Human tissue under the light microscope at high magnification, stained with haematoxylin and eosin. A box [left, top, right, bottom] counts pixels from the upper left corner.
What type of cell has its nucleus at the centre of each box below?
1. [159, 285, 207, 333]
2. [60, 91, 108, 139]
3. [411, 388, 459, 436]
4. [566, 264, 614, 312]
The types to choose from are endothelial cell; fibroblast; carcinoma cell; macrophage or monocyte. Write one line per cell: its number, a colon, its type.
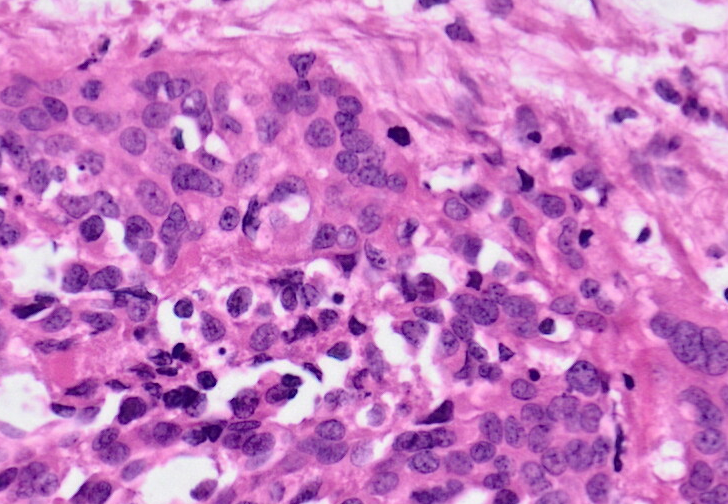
1: carcinoma cell
2: carcinoma cell
3: carcinoma cell
4: macrophage or monocyte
